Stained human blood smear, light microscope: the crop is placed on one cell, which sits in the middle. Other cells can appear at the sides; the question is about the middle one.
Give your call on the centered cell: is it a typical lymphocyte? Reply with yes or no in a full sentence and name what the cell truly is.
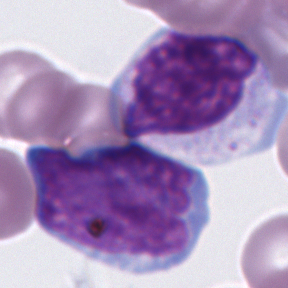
No, what occupies the middle of the crop is a myeloblast and not a typical lymphocyte.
